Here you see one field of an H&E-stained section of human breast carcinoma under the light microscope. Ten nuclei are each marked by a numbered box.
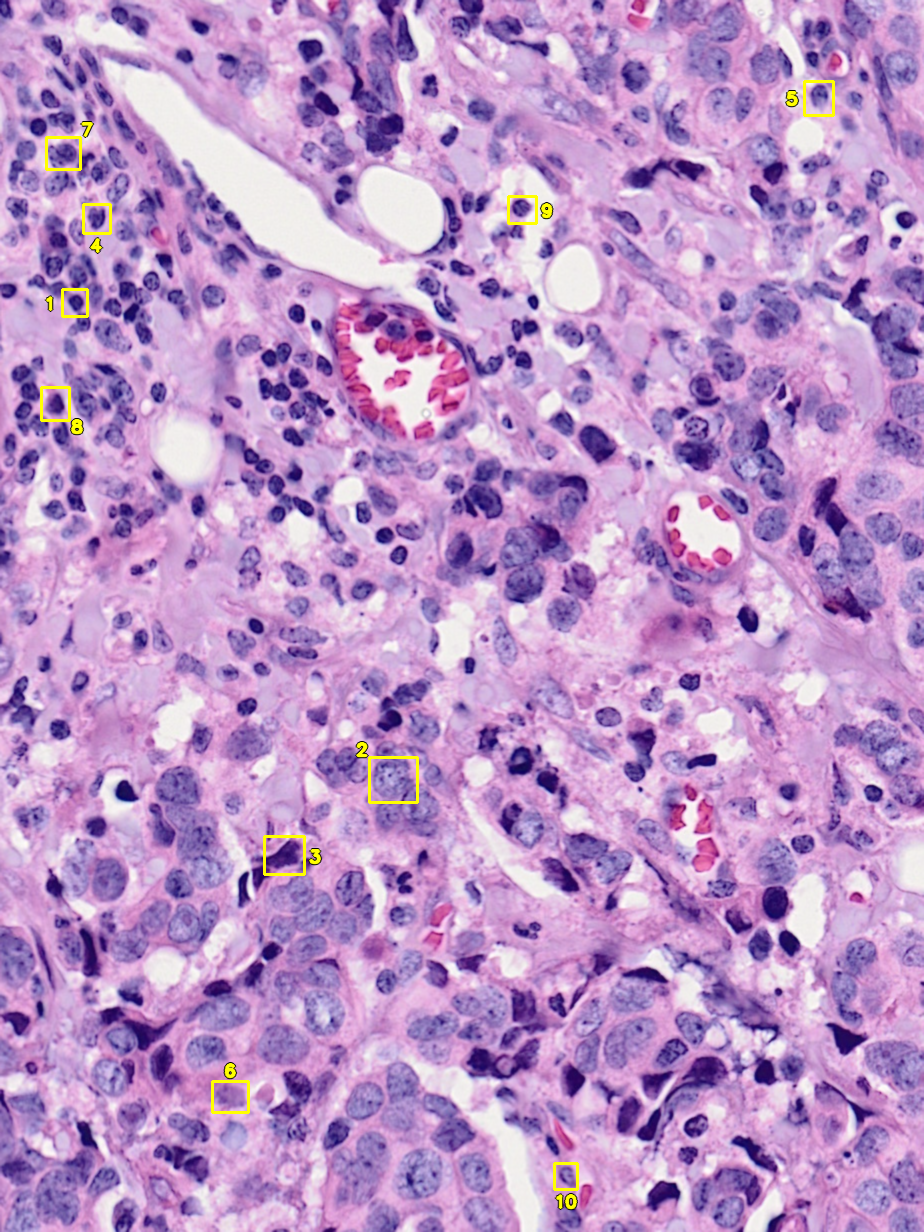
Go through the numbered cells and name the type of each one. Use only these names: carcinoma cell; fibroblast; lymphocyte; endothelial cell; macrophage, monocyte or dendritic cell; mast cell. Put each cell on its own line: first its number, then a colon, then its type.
1: lymphocyte
2: carcinoma cell
3: carcinoma cell
4: lymphocyte
5: lymphocyte
6: carcinoma cell
7: lymphocyte
8: lymphocyte
9: lymphocyte
10: endothelial cell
